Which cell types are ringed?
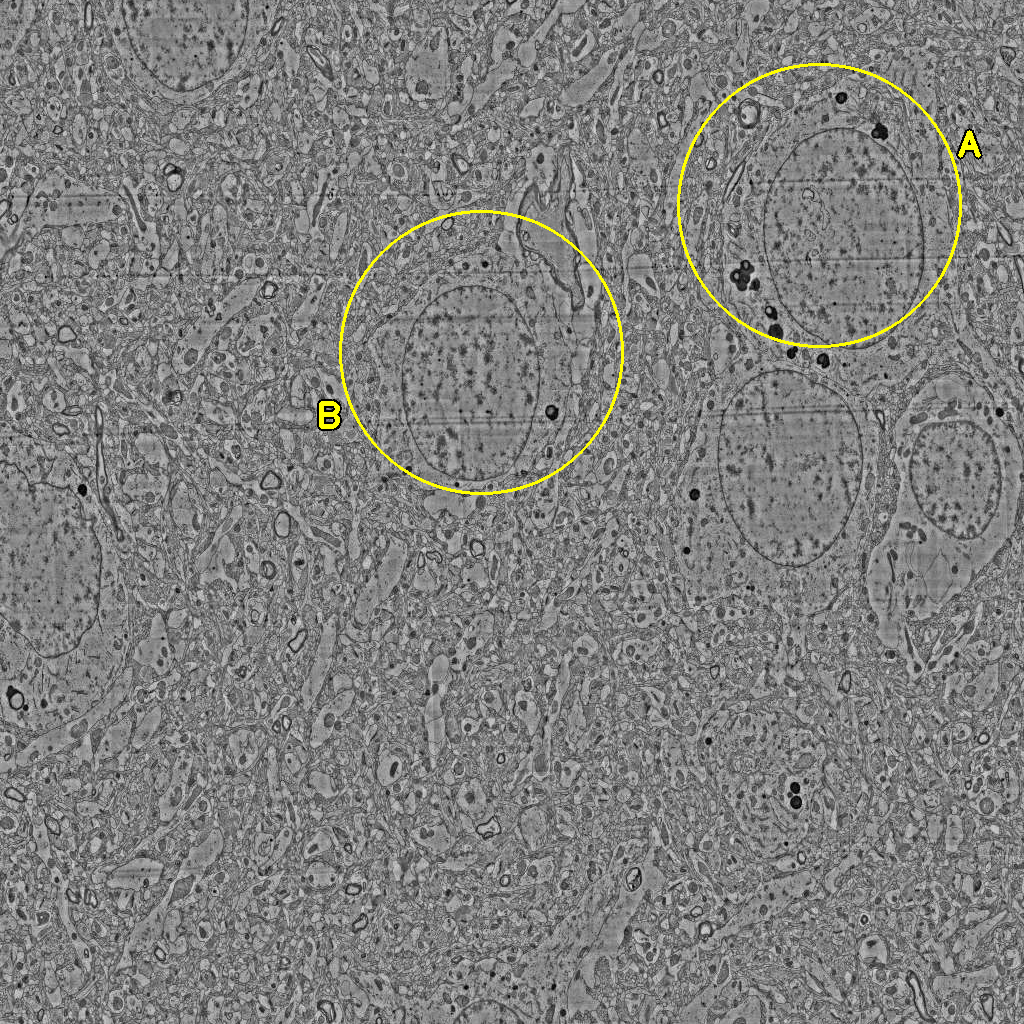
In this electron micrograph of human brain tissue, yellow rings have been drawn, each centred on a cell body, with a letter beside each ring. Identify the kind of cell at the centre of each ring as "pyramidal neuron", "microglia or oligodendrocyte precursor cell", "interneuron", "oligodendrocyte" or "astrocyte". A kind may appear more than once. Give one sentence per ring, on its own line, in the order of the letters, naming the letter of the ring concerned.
Ring A is drawn on a pyramidal neuron.
Ring B is drawn on a pyramidal neuron.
